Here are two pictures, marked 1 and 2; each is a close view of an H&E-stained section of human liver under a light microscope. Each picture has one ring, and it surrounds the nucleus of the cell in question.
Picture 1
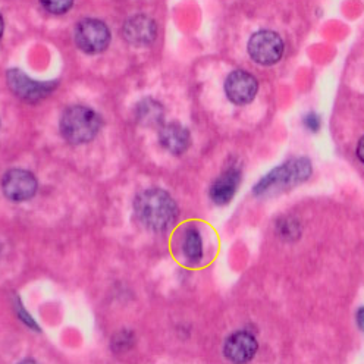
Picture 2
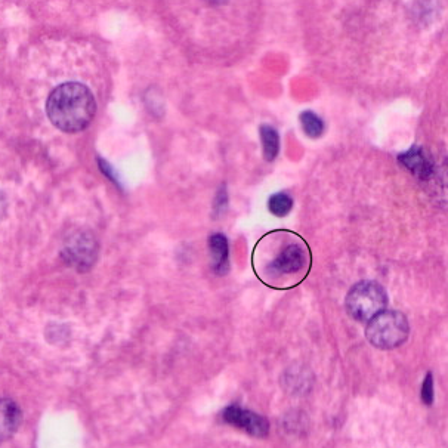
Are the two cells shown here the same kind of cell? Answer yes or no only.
no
